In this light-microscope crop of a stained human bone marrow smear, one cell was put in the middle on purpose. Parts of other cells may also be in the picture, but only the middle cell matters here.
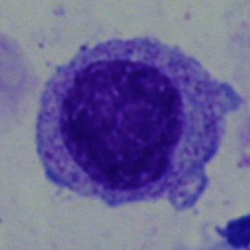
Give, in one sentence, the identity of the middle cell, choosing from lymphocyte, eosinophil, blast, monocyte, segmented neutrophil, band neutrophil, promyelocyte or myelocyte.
The central cell, amid any neighbouring cells, is a myelocyte.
